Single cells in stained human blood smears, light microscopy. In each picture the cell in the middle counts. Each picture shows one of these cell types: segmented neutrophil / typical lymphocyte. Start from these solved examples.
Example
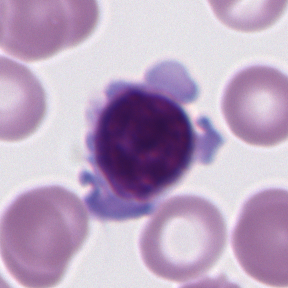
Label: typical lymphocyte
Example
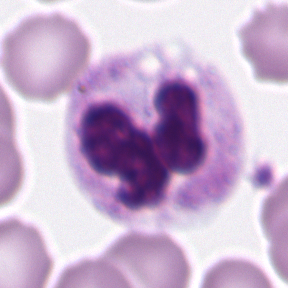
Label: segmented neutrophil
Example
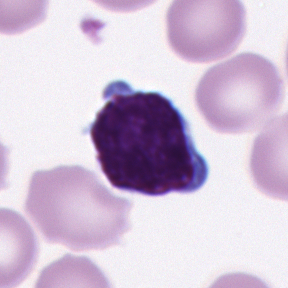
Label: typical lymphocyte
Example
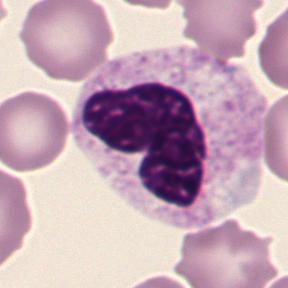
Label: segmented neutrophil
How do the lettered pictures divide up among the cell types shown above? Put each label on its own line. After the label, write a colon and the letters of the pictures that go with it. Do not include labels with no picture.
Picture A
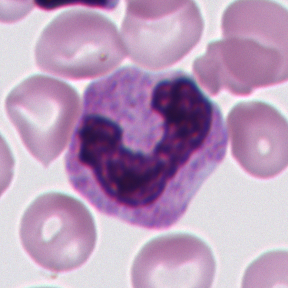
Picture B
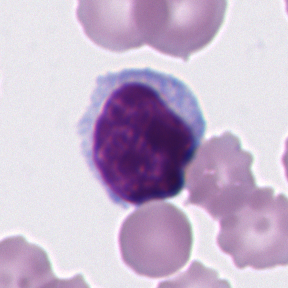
segmented neutrophil: A
typical lymphocyte: B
